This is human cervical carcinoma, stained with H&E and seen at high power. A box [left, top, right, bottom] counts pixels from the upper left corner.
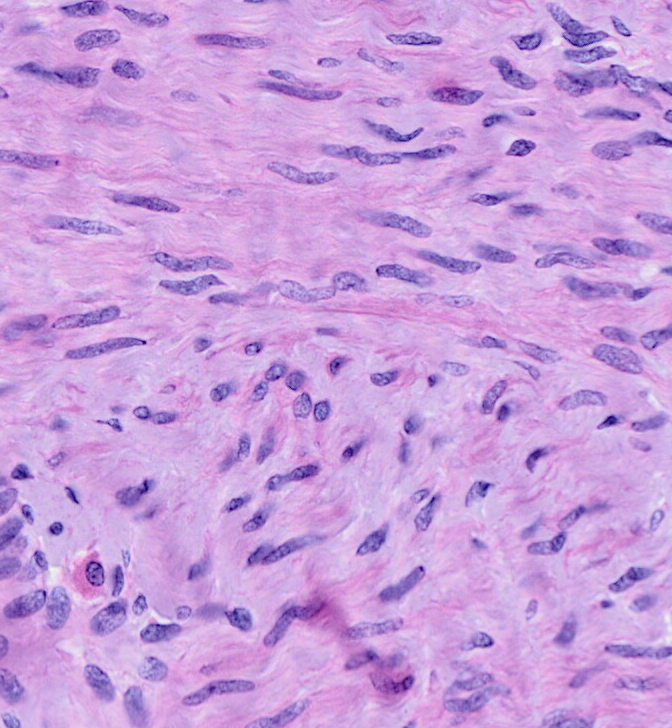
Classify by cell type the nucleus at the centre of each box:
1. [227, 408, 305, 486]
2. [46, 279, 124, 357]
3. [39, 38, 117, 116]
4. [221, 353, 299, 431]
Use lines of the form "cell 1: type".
cell 1: smooth muscle cell
cell 2: smooth muscle cell
cell 3: fibroblast
cell 4: smooth muscle cell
